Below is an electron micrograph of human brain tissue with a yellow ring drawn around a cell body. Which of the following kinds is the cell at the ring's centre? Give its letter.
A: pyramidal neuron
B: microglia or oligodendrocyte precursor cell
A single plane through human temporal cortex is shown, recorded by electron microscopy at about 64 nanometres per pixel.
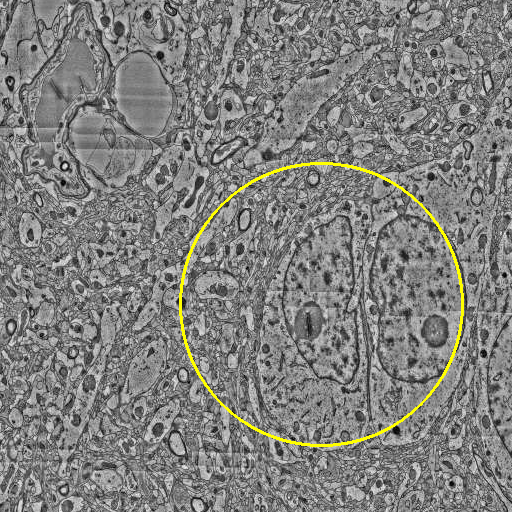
A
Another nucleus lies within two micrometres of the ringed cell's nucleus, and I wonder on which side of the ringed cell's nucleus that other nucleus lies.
That other nucleus is to the upper right of it.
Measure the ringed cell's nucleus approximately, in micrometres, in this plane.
About 10 by 5 micrometres in this plane; clearly longer than it is wide.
